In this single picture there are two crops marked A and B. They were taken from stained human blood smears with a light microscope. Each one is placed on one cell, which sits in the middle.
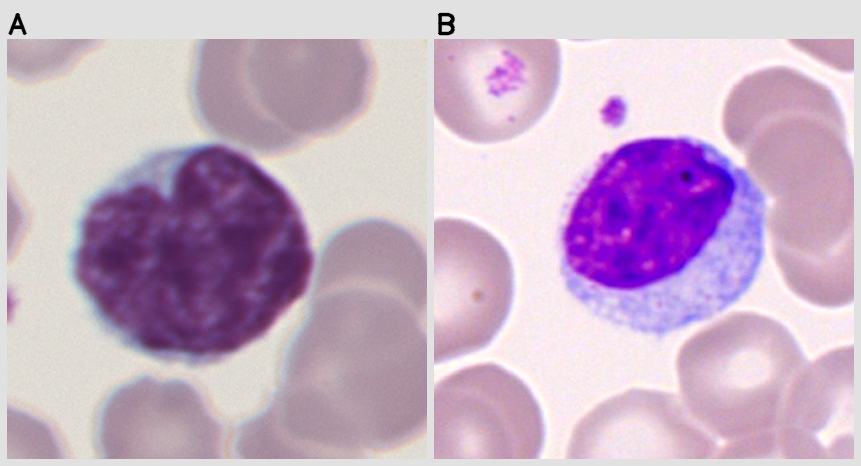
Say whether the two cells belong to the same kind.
yes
